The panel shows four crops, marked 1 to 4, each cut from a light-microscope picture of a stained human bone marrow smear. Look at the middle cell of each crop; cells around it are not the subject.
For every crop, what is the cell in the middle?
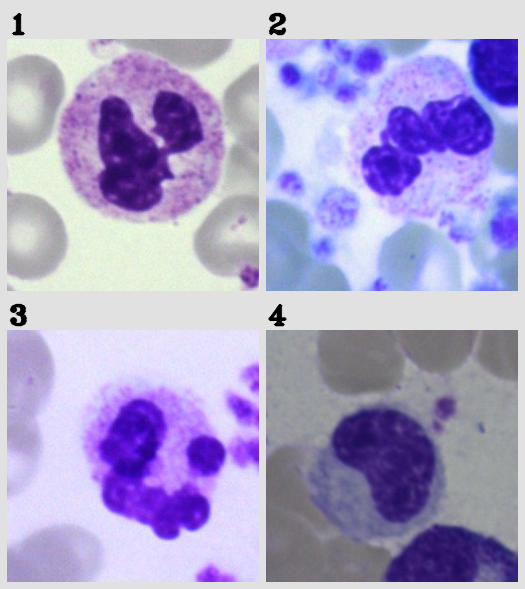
1: segmented neutrophil
2: segmented neutrophil
3: segmented neutrophil
4: band neutrophil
